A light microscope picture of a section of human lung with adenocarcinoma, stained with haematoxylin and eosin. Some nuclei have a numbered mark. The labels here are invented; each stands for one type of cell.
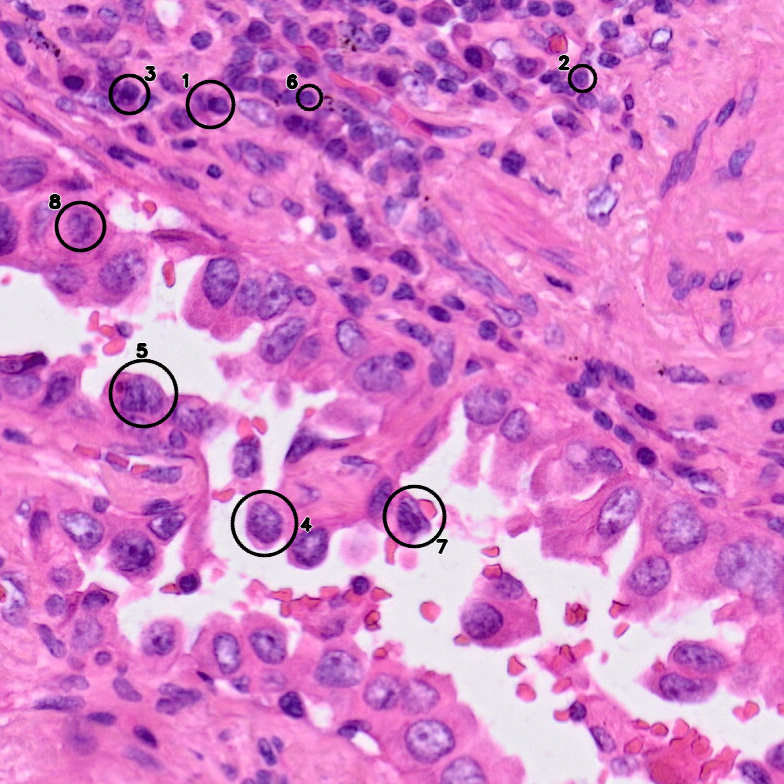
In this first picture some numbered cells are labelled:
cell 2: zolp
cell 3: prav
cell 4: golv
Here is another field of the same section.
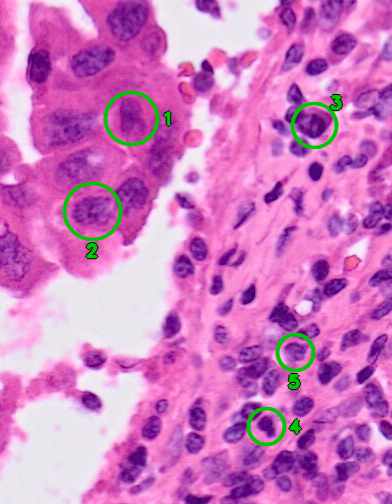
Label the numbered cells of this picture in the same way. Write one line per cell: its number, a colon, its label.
1: golv
2: golv
3: prav
4: zolp
5: zolp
